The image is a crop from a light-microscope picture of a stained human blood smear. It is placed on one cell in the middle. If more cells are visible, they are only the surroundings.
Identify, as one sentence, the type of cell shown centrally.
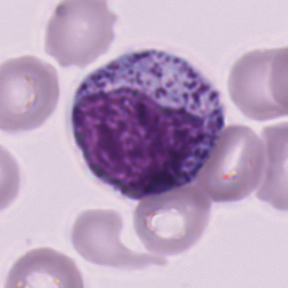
Centrally within this crop lies a myelocyte.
